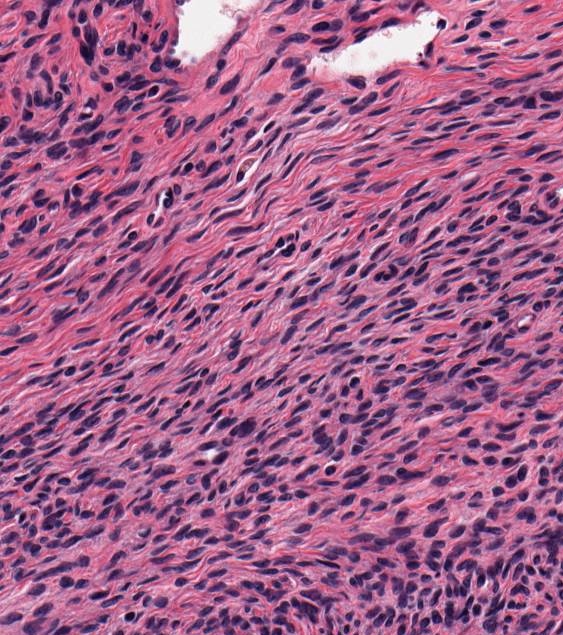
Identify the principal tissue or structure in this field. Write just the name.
ovarian cortex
